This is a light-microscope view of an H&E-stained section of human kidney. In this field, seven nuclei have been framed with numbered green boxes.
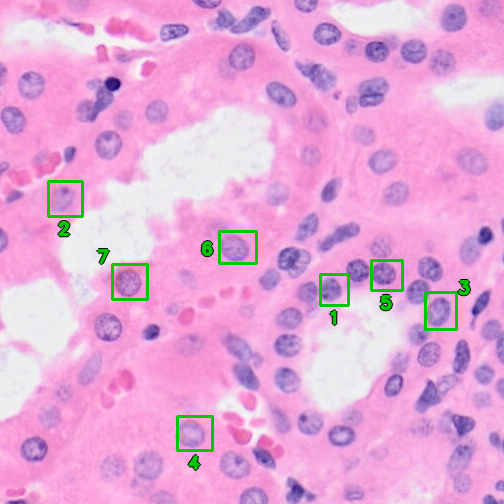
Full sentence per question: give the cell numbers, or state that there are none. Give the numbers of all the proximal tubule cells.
Cells 2, 4, 6 and 7 are proximal tubule cells by cell type.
